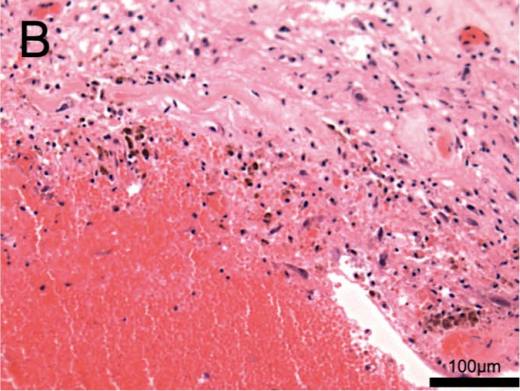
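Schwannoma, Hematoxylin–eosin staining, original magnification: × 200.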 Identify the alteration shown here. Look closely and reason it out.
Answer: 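A large sheet of red blood cells fills the lower left. Clumps of brown granular pigment lie in the tissue beside the blood.
Hemorrhage with hemosiderin deposition.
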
